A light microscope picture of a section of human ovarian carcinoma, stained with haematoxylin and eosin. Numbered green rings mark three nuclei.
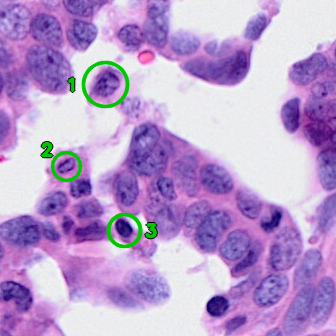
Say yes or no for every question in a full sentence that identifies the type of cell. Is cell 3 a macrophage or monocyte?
No, cell 3 isn't a macrophage or monocyte; it's a lymphocyte.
